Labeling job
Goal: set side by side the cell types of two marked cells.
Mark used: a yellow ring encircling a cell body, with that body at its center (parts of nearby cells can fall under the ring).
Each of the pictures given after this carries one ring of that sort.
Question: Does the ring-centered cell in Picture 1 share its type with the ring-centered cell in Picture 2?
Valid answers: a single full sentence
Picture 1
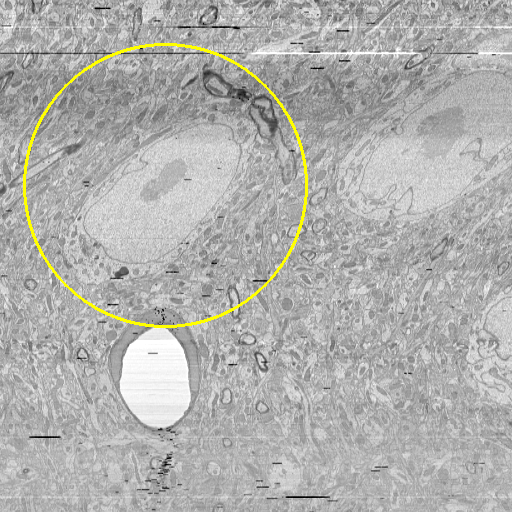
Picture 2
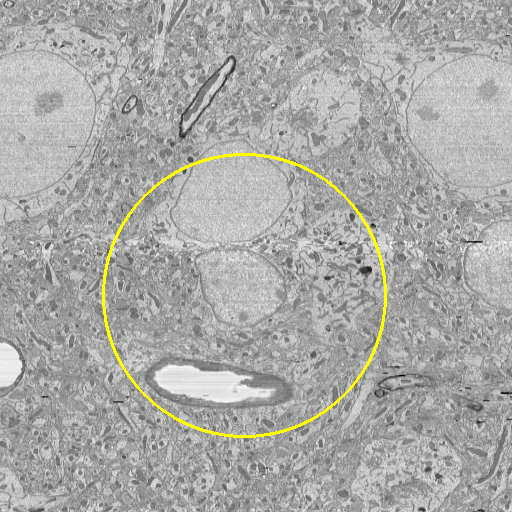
No, in Pictures 1 and 2 the cells at the ring centers have separate types.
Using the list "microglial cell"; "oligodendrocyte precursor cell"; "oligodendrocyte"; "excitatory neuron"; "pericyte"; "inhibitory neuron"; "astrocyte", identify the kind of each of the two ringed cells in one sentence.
The first is an excitatory neuron and the second is an astrocyte.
